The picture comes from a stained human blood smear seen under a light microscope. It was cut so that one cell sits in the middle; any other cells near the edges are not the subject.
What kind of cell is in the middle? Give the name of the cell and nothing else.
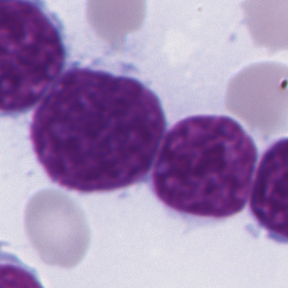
myeloblast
